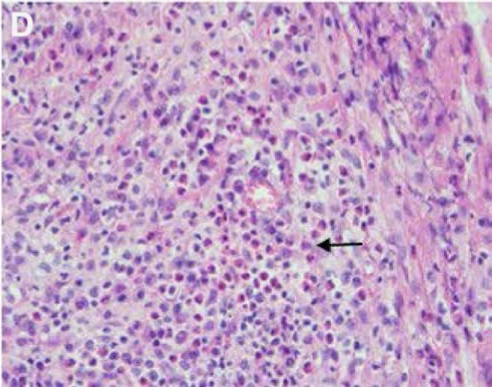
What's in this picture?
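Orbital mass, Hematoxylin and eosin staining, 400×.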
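Between pink fibrous strands lies a dense population of scattered cells, many with bright pink-red granular cytoplasm and nuclei of one or two lobes. Smaller round dark-nucleated cells and some elongated spindle-shaped stromal cells are mixed among them, and a small vessel is seen near the center. The abundant pink-granulated cells with bilobed nuclei are eosinophils infiltrating the tissue between follicles.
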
